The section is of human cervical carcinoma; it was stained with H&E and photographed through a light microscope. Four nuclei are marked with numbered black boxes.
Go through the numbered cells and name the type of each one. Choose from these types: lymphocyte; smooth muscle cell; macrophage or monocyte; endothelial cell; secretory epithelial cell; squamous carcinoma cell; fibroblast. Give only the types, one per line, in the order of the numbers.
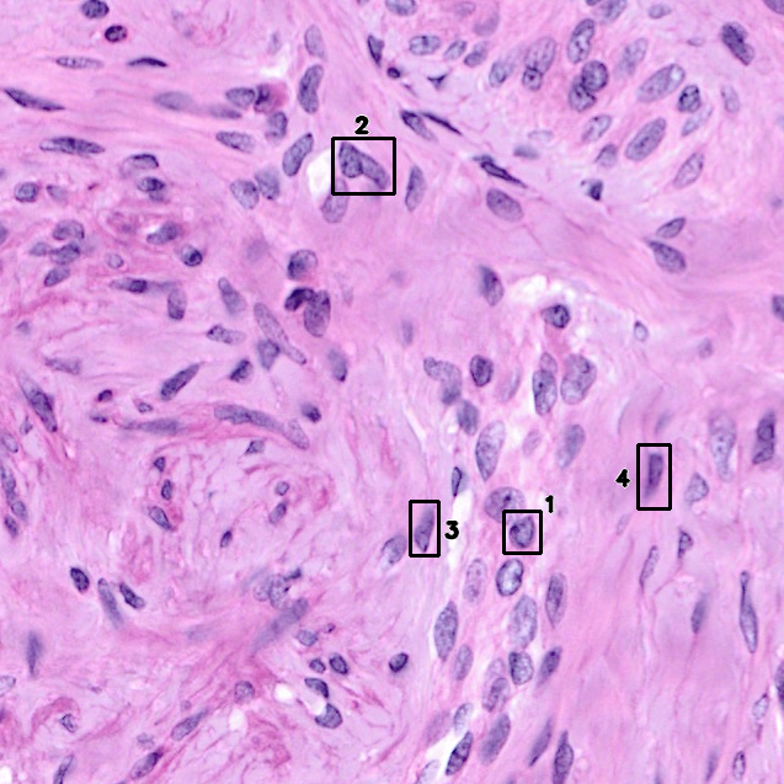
endothelial cell
fibroblast
fibroblast
fibroblast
